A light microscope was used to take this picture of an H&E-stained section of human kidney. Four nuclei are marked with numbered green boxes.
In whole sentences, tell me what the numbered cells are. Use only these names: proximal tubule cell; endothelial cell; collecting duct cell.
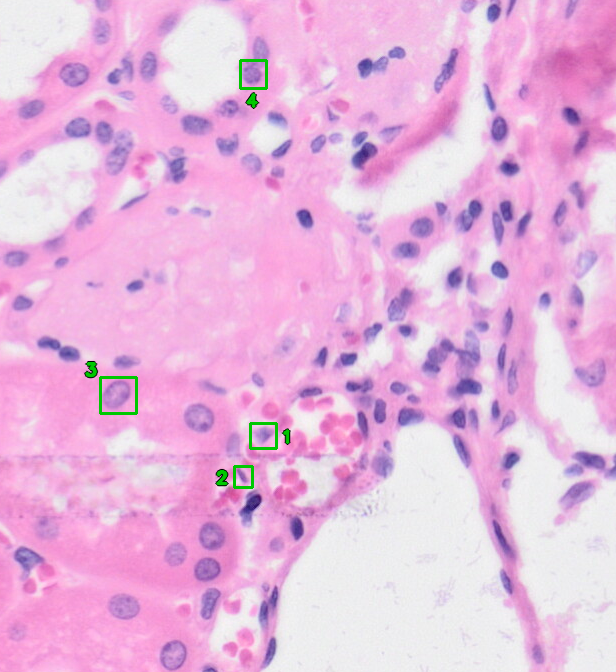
Cells 1 and 2 are endothelial cells. Cell 3 is a proximal tubule cell. Cell 4 is a collecting duct cell.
